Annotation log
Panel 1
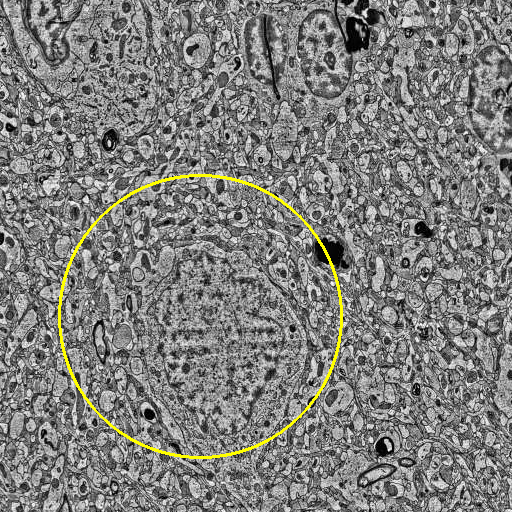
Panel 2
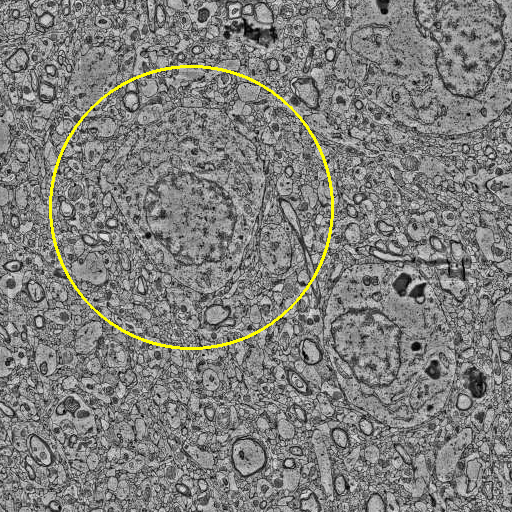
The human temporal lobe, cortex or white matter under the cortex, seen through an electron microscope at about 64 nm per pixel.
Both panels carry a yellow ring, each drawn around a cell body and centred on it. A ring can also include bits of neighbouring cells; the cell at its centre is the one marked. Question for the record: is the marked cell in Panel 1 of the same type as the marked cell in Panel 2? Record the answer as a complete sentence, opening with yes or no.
Yes, the marked cells in Panel 1 and Panel 2 are of the same type.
